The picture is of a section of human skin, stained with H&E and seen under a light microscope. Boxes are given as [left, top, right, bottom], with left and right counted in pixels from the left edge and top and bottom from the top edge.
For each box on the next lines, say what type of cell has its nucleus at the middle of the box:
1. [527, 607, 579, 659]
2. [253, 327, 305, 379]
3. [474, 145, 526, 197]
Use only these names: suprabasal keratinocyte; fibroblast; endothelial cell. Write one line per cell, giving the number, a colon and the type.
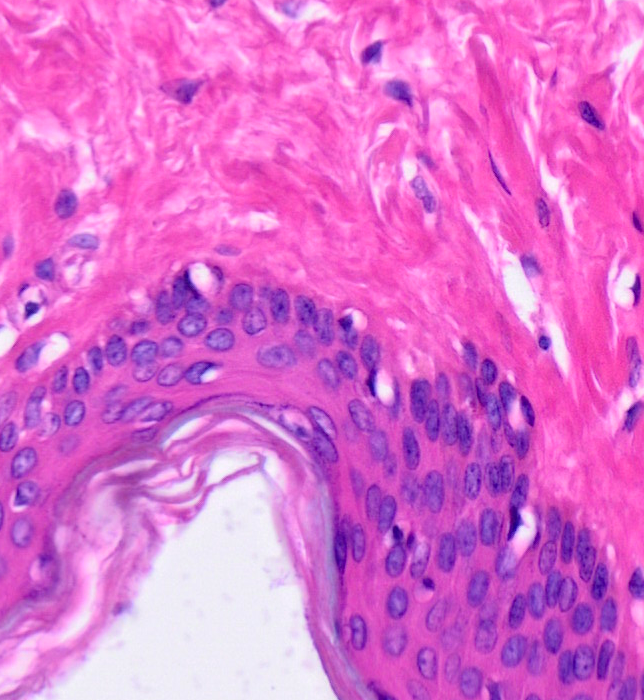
1: suprabasal keratinocyte
2: suprabasal keratinocyte
3: fibroblast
